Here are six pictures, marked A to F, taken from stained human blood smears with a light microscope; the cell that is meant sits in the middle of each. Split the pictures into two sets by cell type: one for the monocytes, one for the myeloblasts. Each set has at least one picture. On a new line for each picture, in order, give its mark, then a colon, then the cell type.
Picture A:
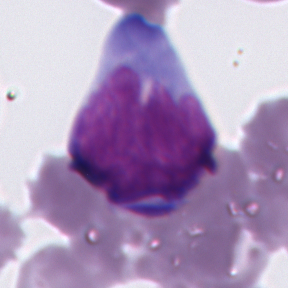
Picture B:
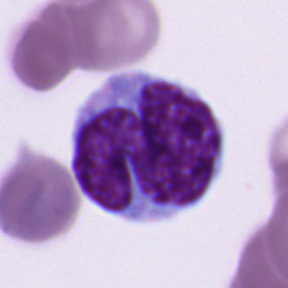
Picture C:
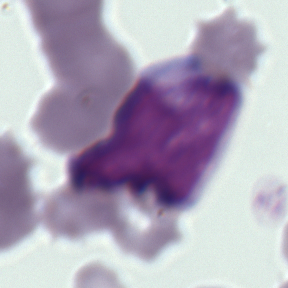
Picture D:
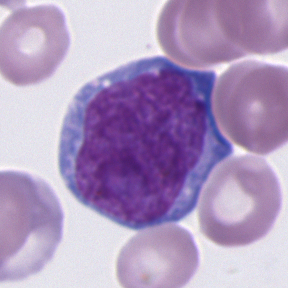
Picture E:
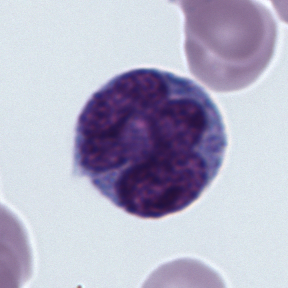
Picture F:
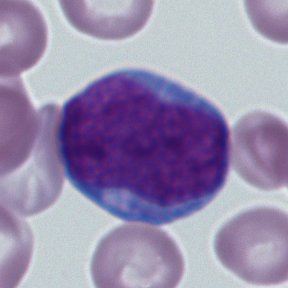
A: myeloblast
B: monocyte
C: myeloblast
D: myeloblast
E: monocyte
F: myeloblast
